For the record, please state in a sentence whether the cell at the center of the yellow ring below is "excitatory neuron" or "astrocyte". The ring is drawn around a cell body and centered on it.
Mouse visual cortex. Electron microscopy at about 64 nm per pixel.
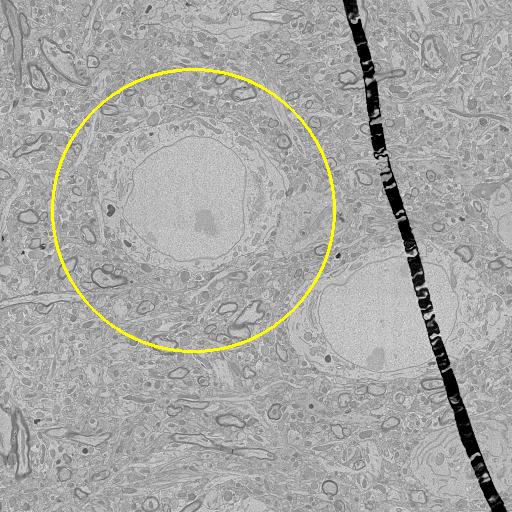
The cell at the ring's center is an excitatory neuron.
